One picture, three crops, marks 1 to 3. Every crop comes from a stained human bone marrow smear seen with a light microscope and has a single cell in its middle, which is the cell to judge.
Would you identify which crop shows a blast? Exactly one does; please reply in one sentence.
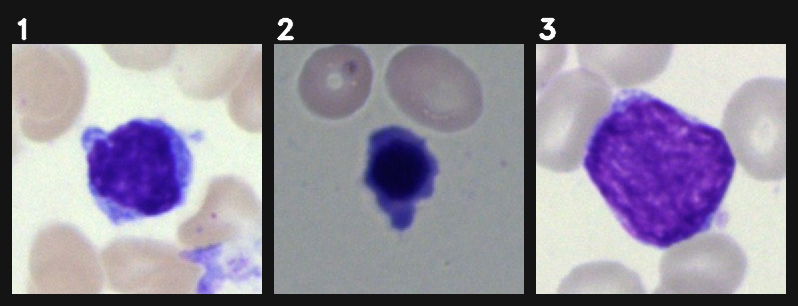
When the crops are compared, crop 3 is the one showing a blast.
